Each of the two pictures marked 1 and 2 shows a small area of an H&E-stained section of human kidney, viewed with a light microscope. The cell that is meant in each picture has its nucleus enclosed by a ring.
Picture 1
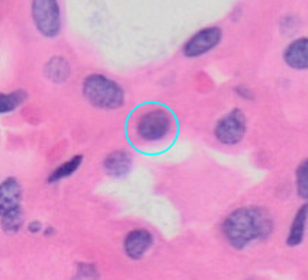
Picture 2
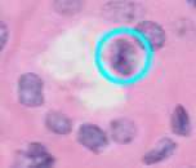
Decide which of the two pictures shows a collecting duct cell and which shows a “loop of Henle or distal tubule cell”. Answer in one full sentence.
Picture 1 is of a “loop of Henle or distal tubule cell”, and picture 2 is of a collecting duct cell.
